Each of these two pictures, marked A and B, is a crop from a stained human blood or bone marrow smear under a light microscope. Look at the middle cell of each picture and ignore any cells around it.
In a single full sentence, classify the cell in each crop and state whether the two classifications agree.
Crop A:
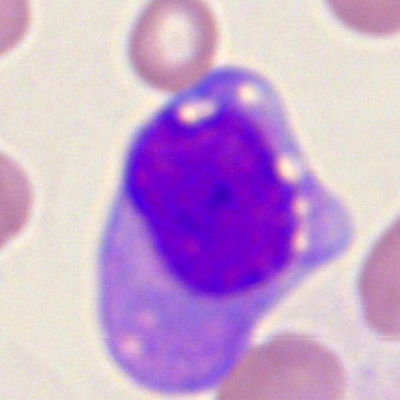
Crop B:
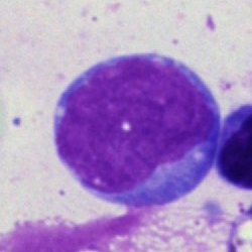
No, a blast is in crop B, and a monocyte is in crop A.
